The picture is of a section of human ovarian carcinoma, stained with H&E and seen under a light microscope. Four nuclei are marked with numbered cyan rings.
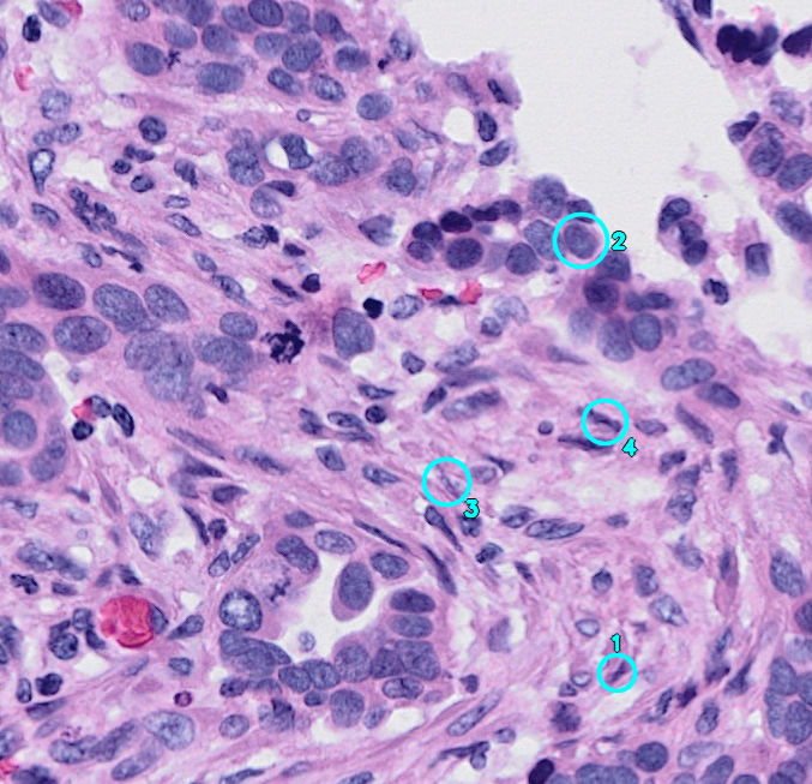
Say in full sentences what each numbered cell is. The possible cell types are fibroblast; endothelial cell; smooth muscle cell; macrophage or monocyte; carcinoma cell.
Cells 1, 3 and 4 are fibroblasts. Cell 2 is a carcinoma cell.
